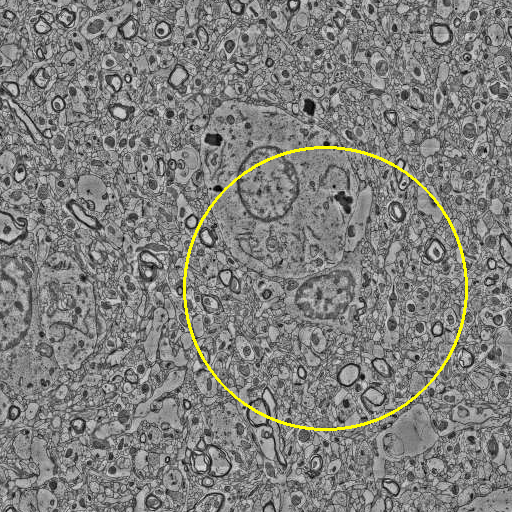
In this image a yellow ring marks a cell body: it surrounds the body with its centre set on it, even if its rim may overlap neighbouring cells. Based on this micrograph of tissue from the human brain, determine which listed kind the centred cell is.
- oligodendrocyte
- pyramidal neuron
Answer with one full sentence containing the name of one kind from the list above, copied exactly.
It is an oligodendrocyte whose body the yellow ring encloses at its centre.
